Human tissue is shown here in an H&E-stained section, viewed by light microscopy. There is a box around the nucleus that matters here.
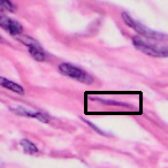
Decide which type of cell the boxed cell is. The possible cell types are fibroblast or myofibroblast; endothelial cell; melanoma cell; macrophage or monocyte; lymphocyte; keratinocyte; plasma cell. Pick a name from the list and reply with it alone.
fibroblast or myofibroblast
